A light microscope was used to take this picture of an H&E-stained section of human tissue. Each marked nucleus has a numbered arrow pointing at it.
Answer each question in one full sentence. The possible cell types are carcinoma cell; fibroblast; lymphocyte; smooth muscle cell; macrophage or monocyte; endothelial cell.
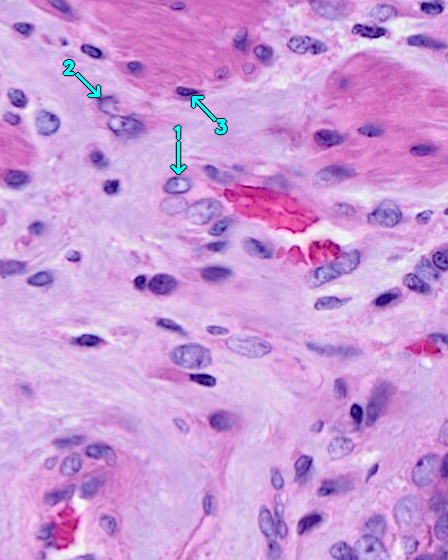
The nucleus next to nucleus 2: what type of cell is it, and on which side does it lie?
Just below and to the right of nucleus 2 lies the nearest nucleus, which belongs to an endothelial cell.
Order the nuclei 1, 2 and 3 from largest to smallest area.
Largest first, the order by area is 1, 2, 3.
